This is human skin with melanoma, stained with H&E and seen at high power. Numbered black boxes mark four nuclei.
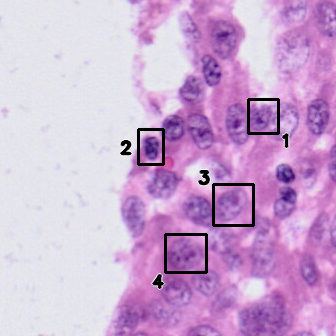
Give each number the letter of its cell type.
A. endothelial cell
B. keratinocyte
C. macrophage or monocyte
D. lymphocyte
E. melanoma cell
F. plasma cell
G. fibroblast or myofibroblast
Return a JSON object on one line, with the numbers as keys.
{"1": "E", "2": "D", "3": "E", "4": "E"}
